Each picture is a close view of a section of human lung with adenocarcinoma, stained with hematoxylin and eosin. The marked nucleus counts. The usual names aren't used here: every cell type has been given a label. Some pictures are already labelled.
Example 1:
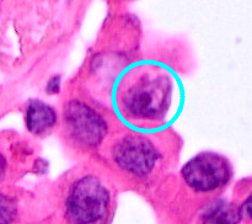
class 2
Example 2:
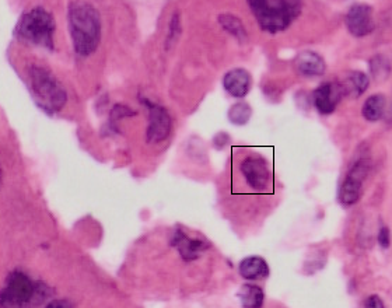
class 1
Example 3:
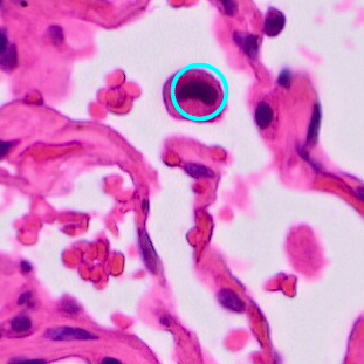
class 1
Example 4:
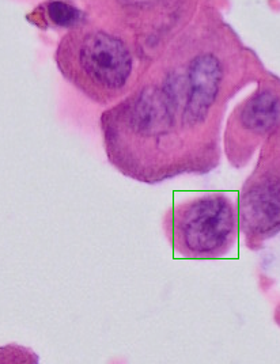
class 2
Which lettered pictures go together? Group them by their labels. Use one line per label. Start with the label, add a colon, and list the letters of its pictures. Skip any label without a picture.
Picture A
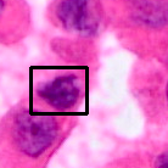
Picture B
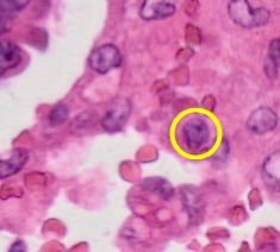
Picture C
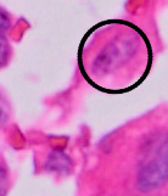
class 2: A
class 1: B, C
